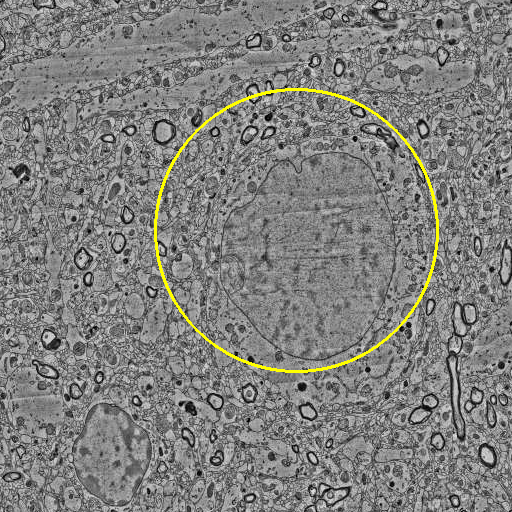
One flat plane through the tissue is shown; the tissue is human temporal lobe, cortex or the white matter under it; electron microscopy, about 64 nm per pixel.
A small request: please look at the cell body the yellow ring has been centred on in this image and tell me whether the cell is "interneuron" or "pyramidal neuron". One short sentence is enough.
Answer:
The cell marked by the ring is a pyramidal neuron.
